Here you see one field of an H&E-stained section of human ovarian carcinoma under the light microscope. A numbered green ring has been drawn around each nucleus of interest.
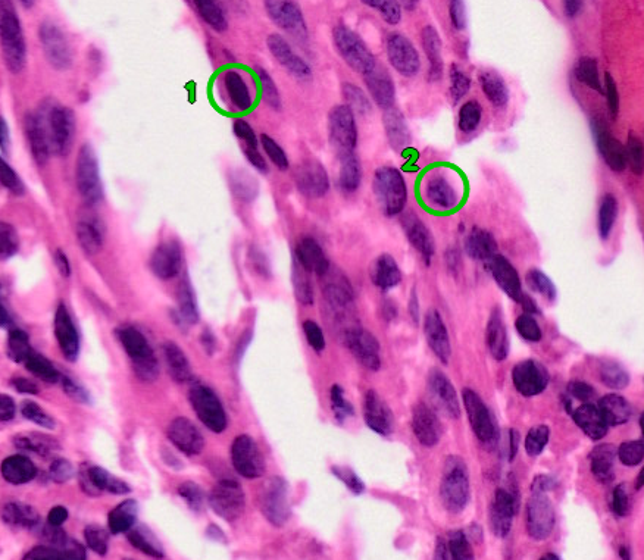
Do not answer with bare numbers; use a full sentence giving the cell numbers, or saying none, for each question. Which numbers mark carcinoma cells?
Only the nucleus marked 1 is that of a carcinoma cell.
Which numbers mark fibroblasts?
The tally for fibroblasts among the numbered cells is zero.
